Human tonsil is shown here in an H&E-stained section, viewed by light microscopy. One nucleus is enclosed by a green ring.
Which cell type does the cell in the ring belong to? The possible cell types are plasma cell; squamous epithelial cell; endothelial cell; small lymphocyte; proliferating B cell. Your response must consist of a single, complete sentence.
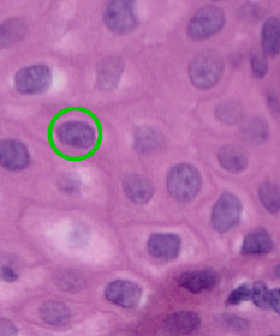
By cell type, the cell in the ring is a squamous epithelial cell.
